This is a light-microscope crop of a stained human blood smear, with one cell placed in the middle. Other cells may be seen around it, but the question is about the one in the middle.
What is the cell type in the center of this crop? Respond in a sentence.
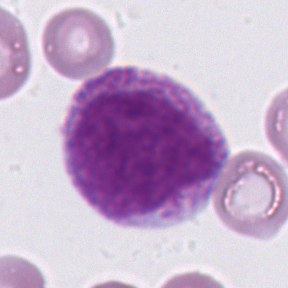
The single cell at the center of the crop is a myelocyte.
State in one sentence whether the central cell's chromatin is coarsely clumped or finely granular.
The key point is fine chromatin with no coarse clumps.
